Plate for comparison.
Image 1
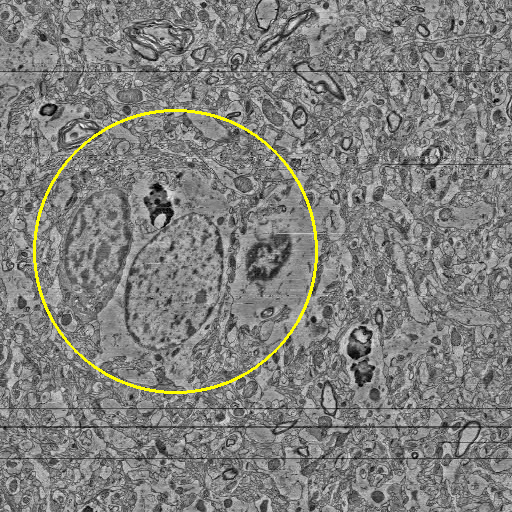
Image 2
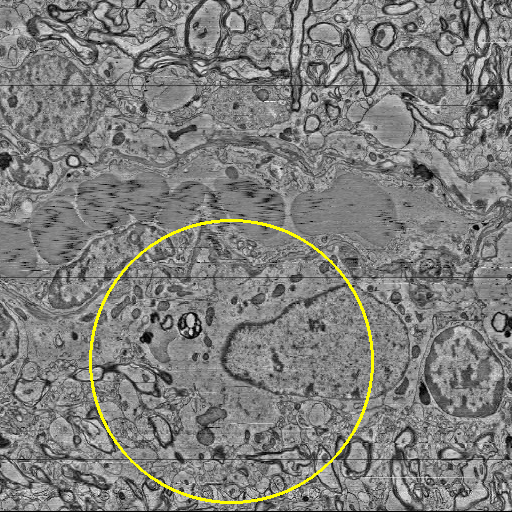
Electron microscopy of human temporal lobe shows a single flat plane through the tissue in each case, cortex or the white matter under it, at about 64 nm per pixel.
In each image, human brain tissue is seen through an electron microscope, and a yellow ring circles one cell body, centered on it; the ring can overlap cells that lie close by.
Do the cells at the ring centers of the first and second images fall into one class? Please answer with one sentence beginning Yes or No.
Yes, the first and second images show a single class of cell at the ring centers.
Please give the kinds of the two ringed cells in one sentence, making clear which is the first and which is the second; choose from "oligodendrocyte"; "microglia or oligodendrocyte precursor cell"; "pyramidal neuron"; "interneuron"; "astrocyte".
Both cells are the same kind, each one being an astrocyte.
